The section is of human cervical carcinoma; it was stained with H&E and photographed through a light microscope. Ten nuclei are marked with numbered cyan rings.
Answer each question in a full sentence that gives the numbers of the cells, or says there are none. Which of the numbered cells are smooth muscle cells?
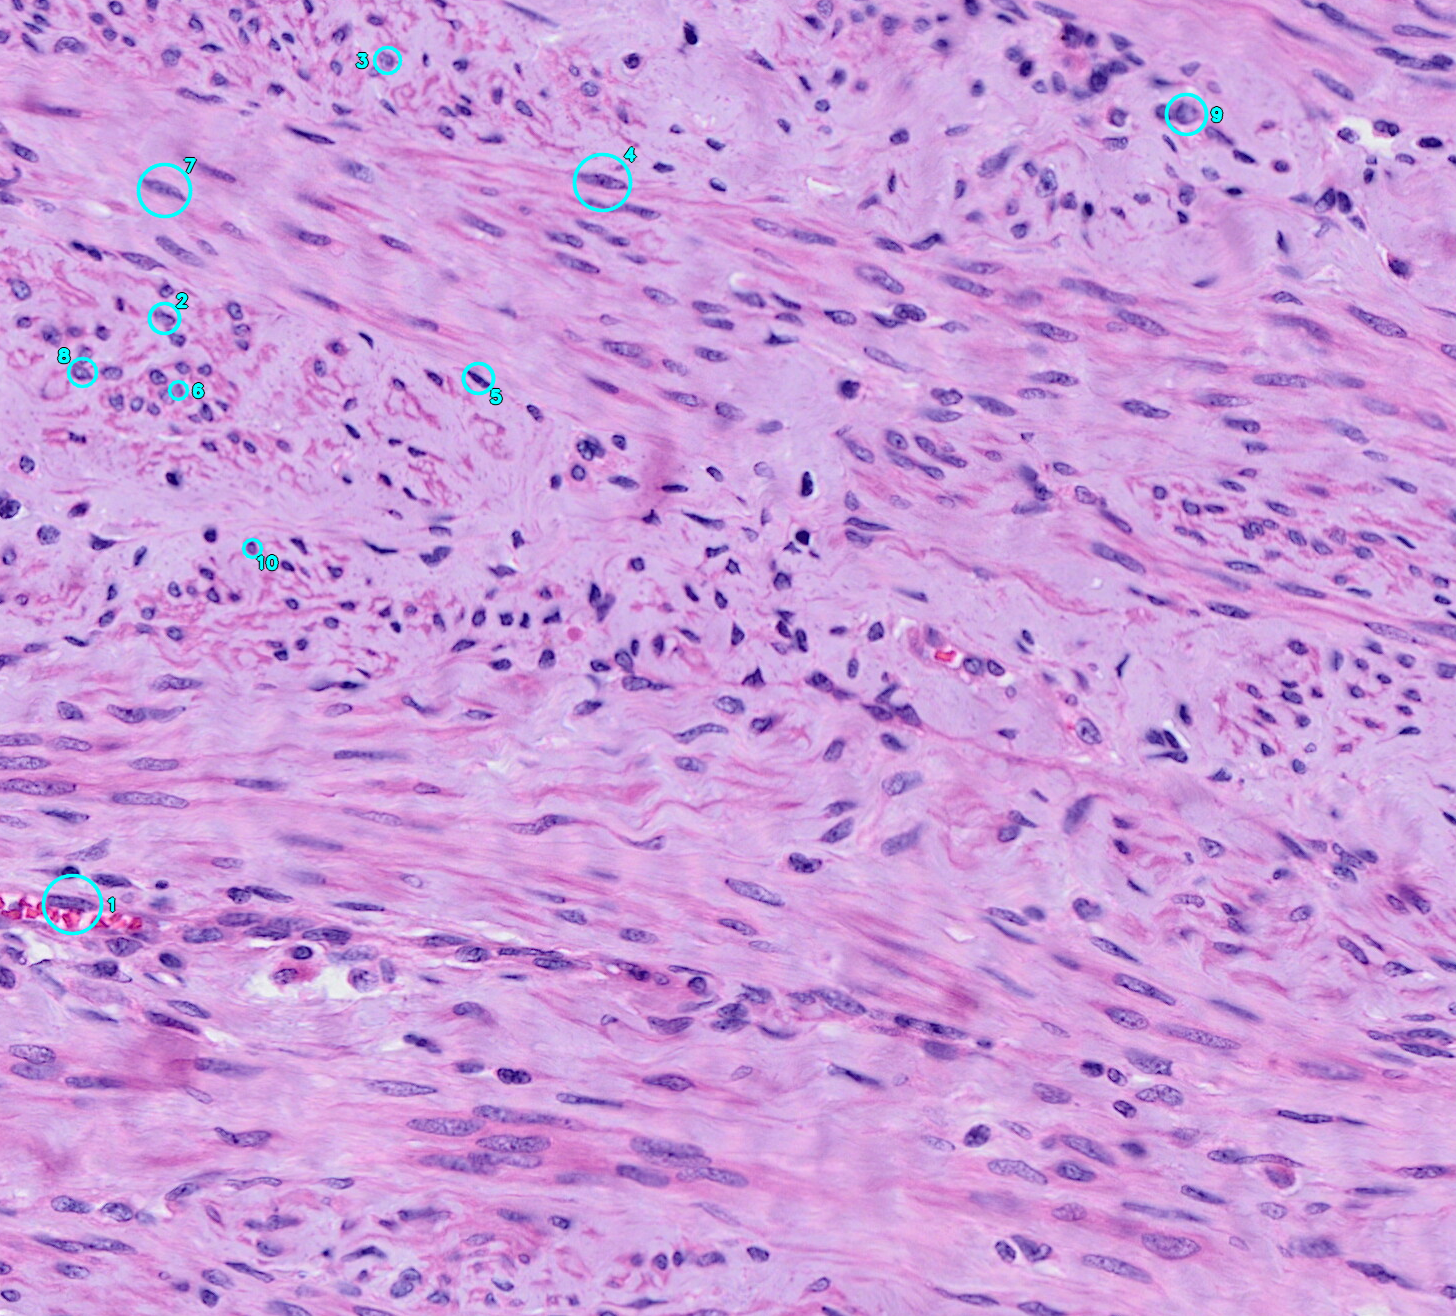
The cells assigned the numbers 2, 3, 4, 6, 8 and 10 are smooth muscle cells.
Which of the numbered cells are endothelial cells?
The cells numbered 1 and 9 are, by type, endothelial cells.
